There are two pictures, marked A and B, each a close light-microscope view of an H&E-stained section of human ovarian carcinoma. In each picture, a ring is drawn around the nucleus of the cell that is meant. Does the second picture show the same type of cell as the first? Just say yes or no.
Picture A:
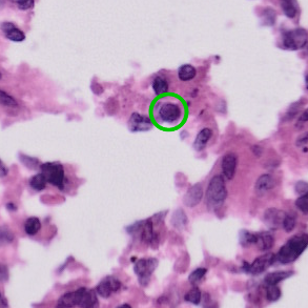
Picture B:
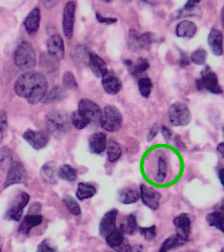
yes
